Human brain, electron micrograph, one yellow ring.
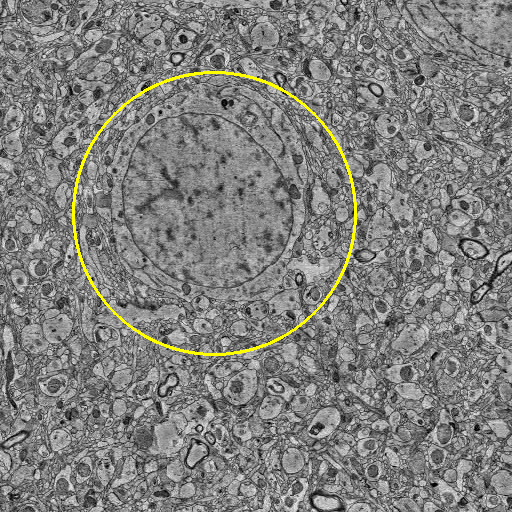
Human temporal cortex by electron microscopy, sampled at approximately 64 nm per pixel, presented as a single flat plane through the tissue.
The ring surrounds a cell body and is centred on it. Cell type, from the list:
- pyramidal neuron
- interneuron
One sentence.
The yellow ring circles a pyramidal neuron.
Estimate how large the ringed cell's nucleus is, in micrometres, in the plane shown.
In this plane, the nucleus of the cell at the centre of the ring is about 11 micrometres across.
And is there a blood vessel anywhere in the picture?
No, no vessel appears in the picture.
